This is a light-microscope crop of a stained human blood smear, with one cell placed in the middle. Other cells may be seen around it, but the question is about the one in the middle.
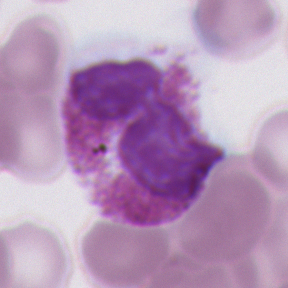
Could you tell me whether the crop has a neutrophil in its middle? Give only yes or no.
no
